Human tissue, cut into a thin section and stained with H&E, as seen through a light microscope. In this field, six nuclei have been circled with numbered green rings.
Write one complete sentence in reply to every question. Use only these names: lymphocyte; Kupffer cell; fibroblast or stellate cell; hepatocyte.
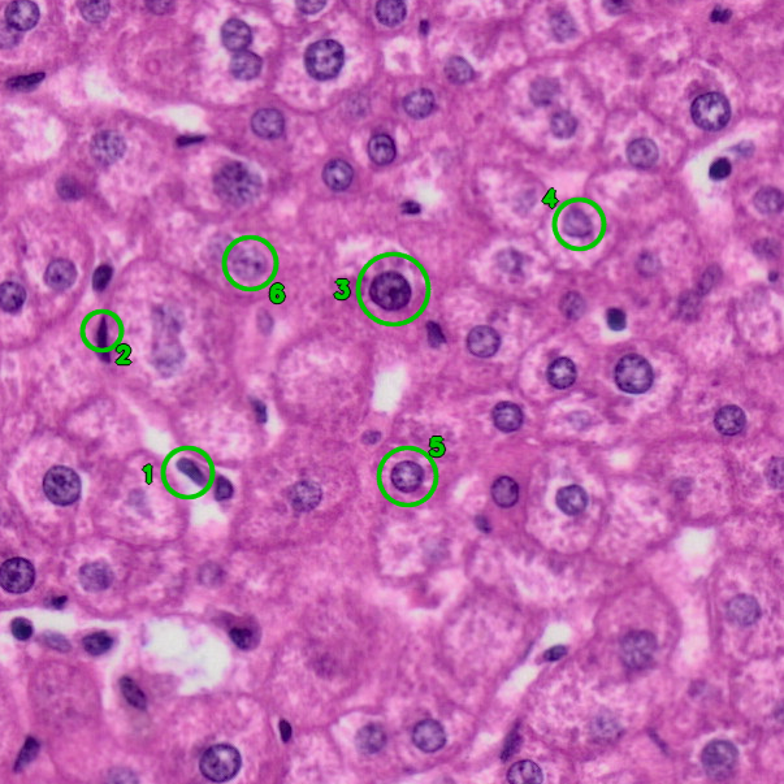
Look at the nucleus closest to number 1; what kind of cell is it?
Number 1 lies closest to the nucleus of a Kupffer cell.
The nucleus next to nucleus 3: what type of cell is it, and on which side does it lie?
A fibroblast or stellate cell lies closest, below and to the right of nucleus 3.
